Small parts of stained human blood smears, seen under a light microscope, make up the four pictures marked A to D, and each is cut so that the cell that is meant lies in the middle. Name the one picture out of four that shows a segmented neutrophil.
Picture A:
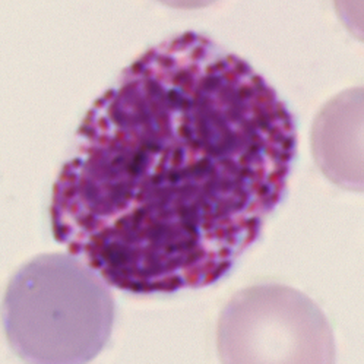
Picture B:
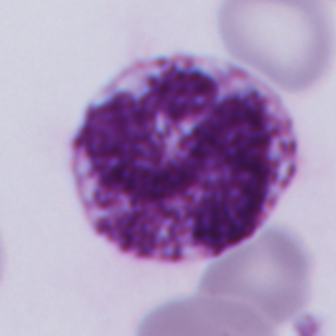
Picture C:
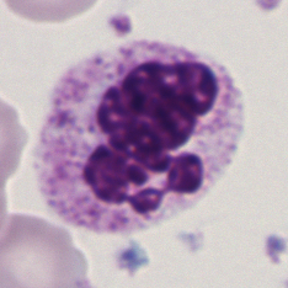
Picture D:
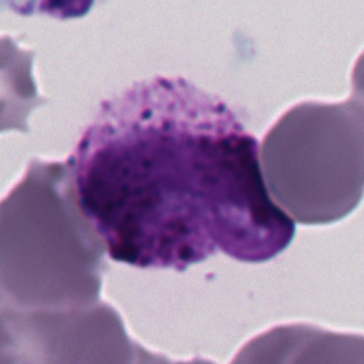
C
